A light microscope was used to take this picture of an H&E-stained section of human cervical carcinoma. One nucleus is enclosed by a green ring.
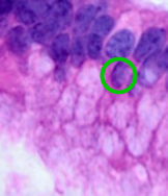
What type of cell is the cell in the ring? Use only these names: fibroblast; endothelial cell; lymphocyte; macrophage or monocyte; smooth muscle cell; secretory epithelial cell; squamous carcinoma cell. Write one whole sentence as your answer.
As classified here, the cell in the ring is a secretory epithelial cell.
